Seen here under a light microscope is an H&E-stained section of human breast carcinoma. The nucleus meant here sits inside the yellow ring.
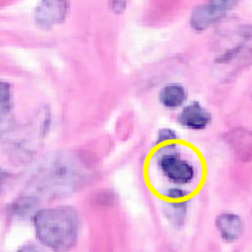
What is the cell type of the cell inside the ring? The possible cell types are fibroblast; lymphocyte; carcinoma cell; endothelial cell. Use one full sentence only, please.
In cell-type terms, the cell inside the ring is a lymphocyte.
